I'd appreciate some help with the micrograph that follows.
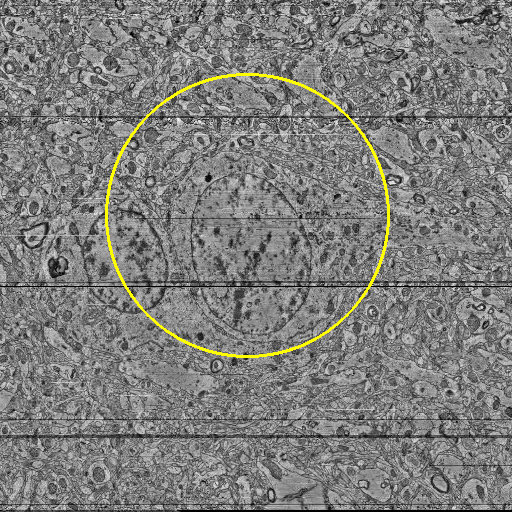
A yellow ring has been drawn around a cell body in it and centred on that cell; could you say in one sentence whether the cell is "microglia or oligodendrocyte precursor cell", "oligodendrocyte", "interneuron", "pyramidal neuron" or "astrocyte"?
It is a pyramidal neuron at the centre of the ring.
